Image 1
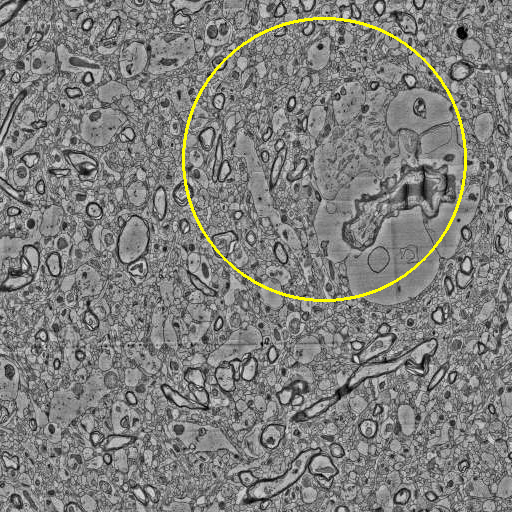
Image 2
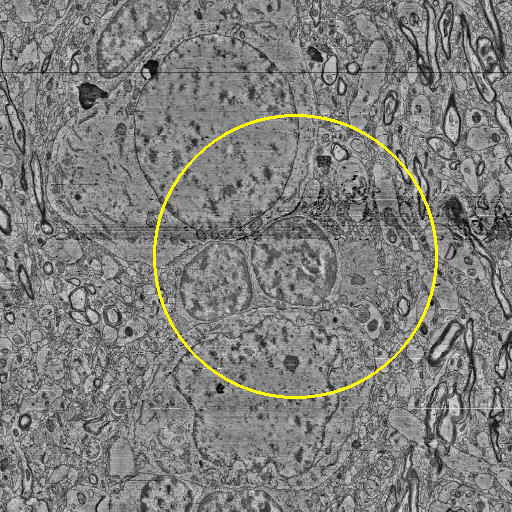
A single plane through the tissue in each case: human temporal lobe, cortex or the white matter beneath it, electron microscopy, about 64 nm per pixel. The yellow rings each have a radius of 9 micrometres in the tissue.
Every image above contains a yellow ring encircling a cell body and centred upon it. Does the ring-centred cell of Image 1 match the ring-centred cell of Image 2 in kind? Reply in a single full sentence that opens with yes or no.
No, the cell at the ring's centre in Image 1 is a separate kind from that in Image 2.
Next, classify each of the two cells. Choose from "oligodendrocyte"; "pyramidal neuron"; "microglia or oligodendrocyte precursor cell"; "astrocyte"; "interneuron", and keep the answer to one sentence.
In the first picture it is a microglial cell or oligodendrocyte precursor cell; in the second it is an oligodendrocyte.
